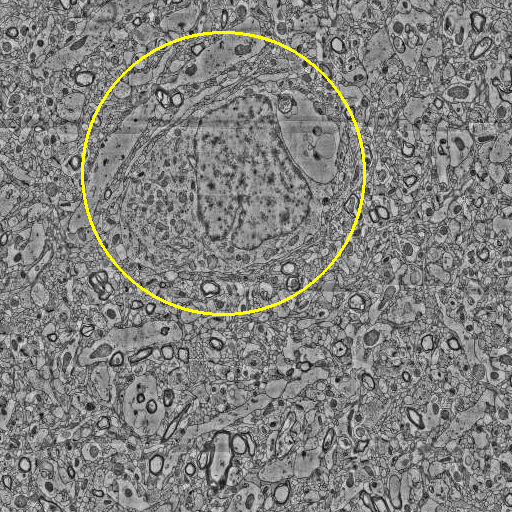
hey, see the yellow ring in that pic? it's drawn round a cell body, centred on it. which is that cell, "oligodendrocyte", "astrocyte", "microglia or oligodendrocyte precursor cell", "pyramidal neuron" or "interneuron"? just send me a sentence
The cell in the ring is an interneuron.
